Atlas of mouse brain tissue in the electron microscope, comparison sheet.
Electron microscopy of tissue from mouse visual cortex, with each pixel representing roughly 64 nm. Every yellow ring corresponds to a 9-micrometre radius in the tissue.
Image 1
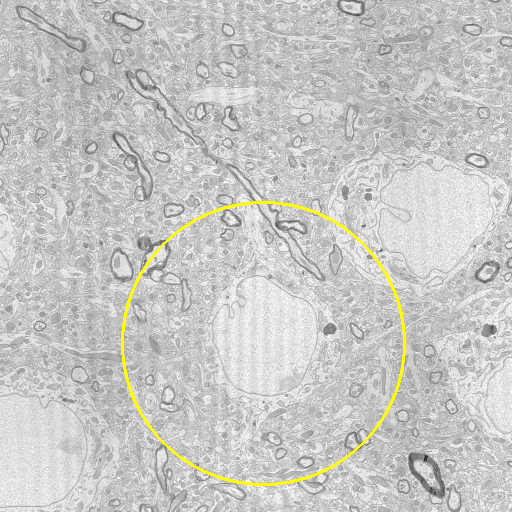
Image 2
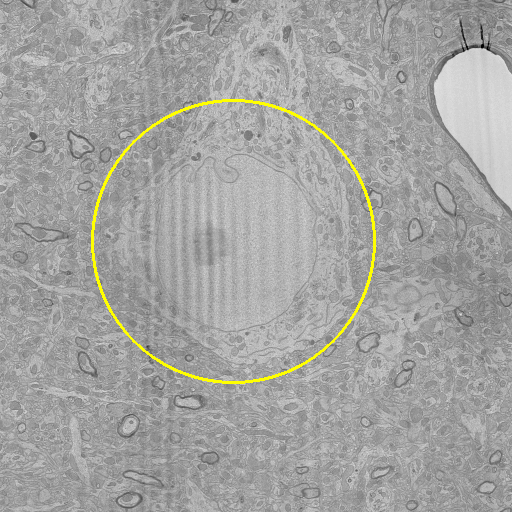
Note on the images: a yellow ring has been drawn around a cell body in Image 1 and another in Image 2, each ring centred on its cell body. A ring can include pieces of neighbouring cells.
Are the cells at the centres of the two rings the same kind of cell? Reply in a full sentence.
Yes, both cells are of the same kind.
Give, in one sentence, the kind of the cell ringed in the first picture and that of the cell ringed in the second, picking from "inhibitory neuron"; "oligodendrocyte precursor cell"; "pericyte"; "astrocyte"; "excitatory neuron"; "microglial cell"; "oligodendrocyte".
Each of the two cells is an excitatory neuron.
